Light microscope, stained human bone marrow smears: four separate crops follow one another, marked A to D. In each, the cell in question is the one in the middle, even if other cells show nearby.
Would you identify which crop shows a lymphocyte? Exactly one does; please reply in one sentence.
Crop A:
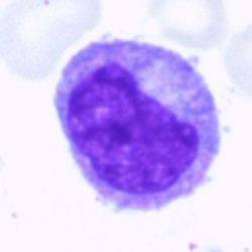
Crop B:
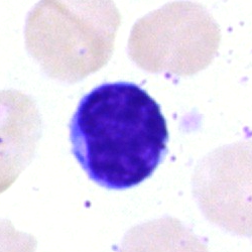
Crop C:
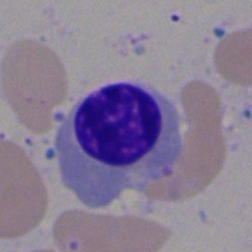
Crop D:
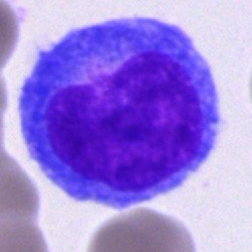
The requested cell, a lymphocyte, is the one in crop B.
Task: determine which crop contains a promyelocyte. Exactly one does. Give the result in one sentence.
Crop A is the crop in which a promyelocyte is shown.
